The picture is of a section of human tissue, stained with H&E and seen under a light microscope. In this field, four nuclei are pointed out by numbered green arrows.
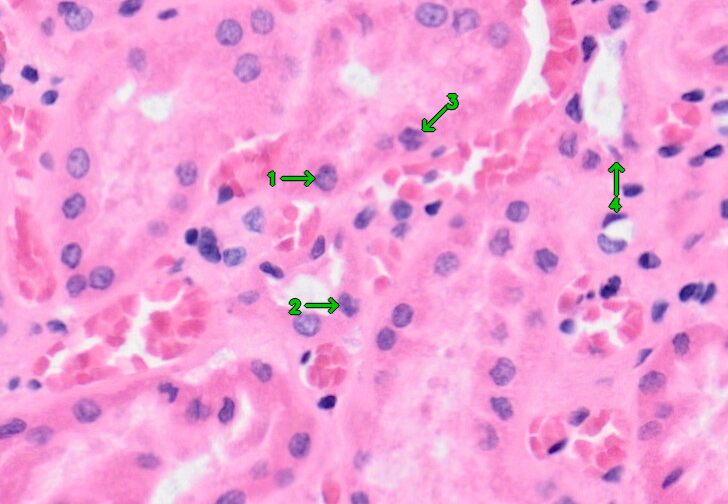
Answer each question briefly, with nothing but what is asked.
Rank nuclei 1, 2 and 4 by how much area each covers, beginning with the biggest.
1, 2, 4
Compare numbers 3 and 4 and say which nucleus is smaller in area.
4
